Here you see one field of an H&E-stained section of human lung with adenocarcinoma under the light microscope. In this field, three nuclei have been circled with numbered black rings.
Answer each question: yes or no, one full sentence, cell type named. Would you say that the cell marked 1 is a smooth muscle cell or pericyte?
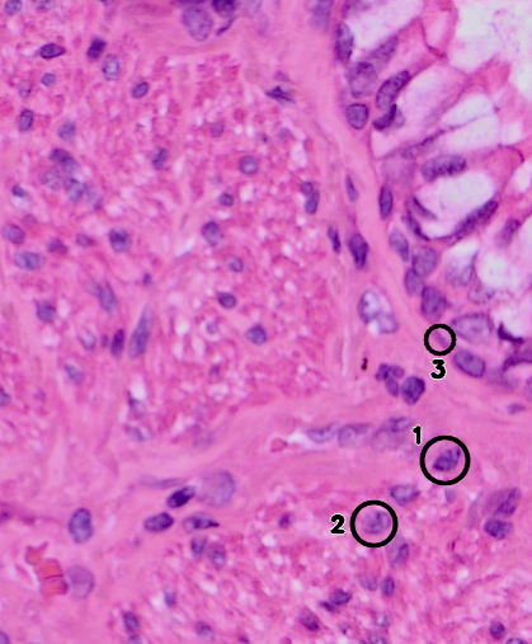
No, the identification of cell 1 as a smooth muscle cell or pericyte is incorrect; it is a mast cell.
